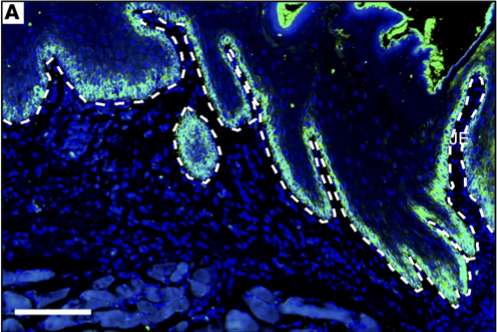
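This is gingival epithelium overlying mesenchyme, with a stratified epithelium thrown into deep ridges that project down into the connective tissue. A green band lines the base of the epithelium along its whole folded border, while the upper layers are mostly blue nuclei and paler tissue. Beneath the border, the connective tissue has sparser, scattered blue nuclei.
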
